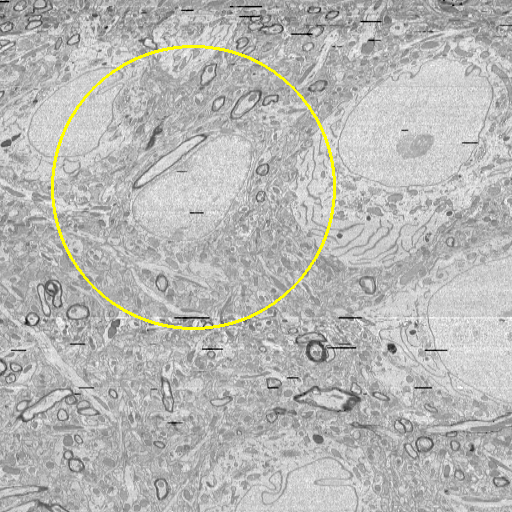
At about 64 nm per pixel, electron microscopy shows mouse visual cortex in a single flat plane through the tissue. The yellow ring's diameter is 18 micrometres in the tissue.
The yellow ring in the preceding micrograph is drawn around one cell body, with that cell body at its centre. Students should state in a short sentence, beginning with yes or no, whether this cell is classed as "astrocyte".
Yes, this cell is of that type.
